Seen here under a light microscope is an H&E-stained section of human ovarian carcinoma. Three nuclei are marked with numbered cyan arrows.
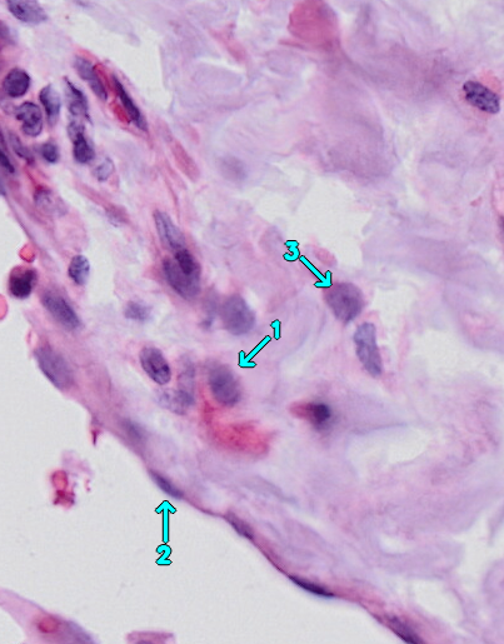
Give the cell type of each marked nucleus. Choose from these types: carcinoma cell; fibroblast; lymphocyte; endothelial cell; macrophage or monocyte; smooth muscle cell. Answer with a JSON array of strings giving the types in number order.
["endothelial cell", "endothelial cell", "fibroblast"]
